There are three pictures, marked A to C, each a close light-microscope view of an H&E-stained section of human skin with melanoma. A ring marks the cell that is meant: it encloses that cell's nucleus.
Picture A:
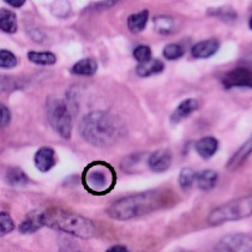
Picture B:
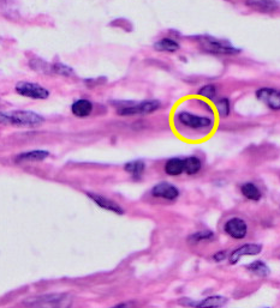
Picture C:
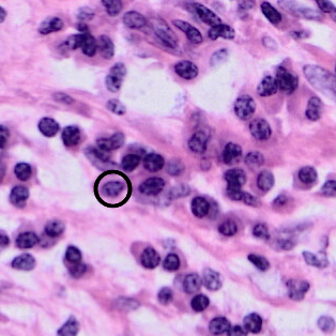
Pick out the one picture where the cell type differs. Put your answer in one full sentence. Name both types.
Picture A differs, because its cell is a lymphocyte and the rest are plasma cells.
